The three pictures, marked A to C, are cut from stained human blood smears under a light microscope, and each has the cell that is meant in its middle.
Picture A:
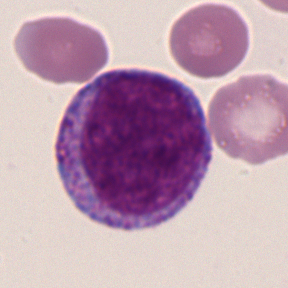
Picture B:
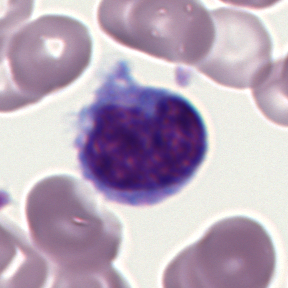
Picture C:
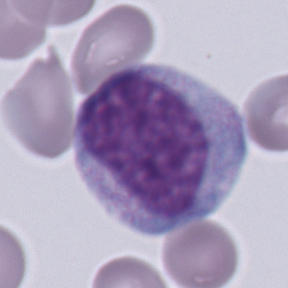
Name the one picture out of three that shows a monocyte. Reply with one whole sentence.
It is picture B that shows the monocyte.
